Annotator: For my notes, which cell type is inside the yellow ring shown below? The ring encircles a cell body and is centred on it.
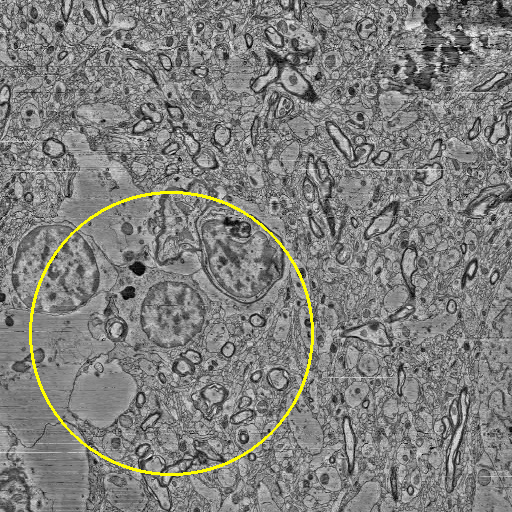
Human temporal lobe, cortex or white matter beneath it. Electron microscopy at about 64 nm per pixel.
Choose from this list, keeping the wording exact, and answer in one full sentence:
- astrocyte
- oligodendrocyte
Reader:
At the centre of the yellow ring there is an oligodendrocyte, as shown in the picture.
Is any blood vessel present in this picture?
Yes, a blood vessel can be seen.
